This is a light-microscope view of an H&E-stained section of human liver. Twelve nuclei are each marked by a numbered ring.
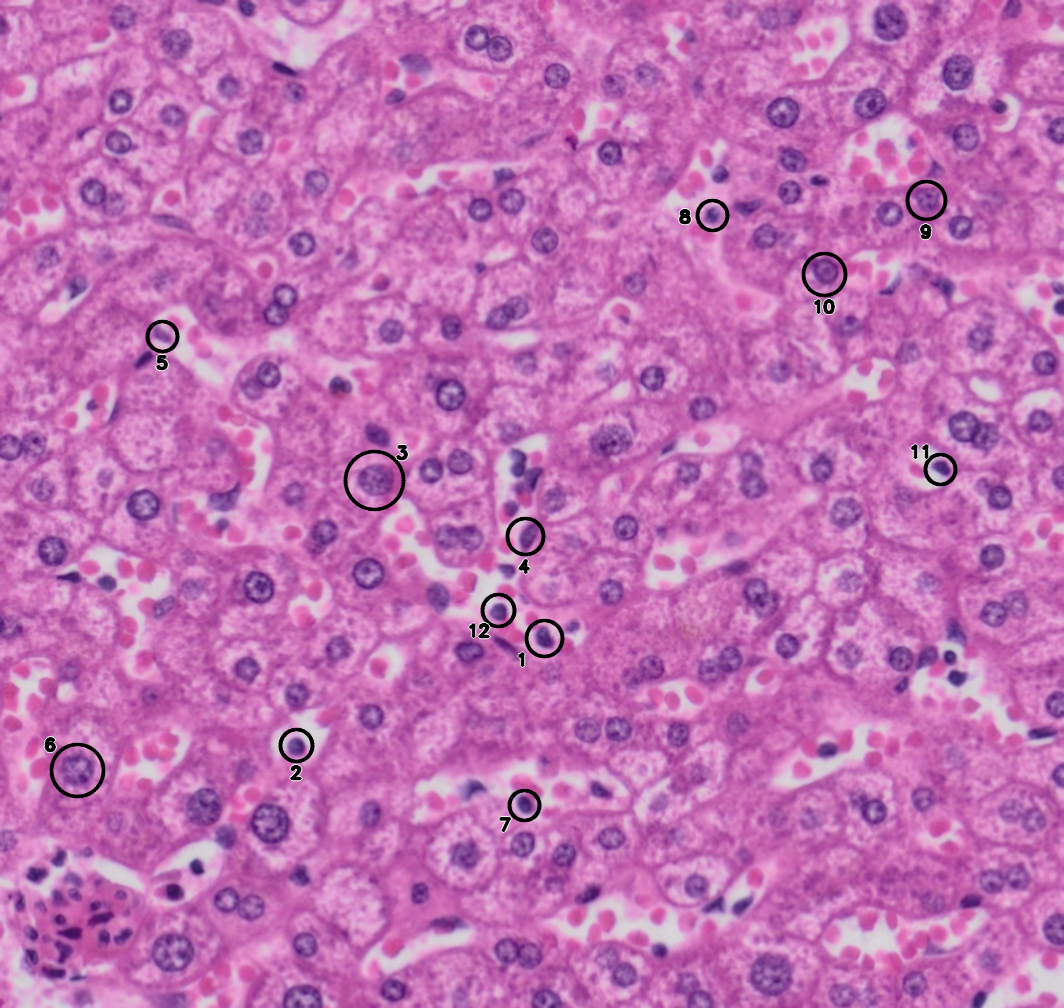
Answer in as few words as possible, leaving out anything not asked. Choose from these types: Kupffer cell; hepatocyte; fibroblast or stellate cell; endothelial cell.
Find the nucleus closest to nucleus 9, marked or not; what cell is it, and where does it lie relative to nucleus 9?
an endothelial cell, above nucleus 9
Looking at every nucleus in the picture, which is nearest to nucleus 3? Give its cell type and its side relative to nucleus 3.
a fibroblast or stellate cell above nucleus 3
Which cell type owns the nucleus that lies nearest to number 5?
fibroblast or stellate cell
